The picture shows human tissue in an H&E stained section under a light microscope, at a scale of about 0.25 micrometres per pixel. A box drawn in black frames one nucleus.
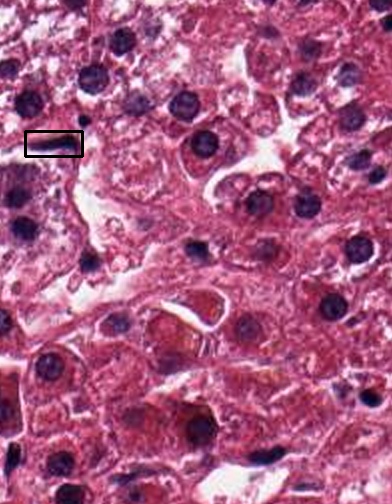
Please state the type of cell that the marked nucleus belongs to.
endothelial cell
